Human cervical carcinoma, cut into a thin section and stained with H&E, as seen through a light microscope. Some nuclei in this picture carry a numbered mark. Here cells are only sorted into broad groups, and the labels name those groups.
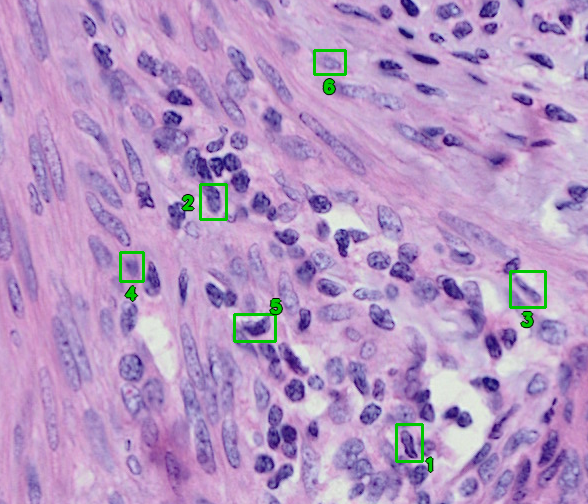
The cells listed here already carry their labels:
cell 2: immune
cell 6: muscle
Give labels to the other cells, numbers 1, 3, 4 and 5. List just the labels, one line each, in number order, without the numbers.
immune
immune
muscle
immune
